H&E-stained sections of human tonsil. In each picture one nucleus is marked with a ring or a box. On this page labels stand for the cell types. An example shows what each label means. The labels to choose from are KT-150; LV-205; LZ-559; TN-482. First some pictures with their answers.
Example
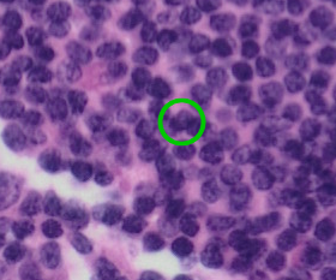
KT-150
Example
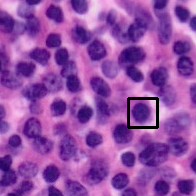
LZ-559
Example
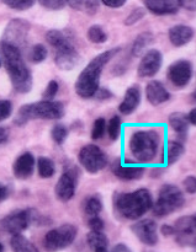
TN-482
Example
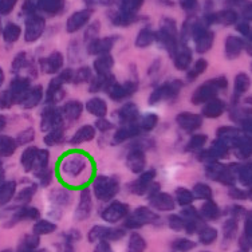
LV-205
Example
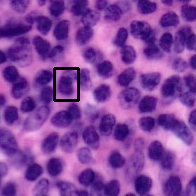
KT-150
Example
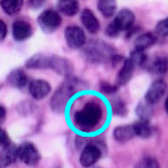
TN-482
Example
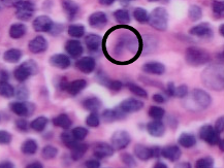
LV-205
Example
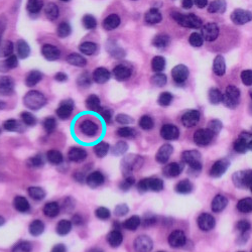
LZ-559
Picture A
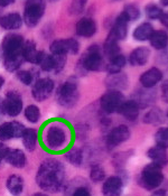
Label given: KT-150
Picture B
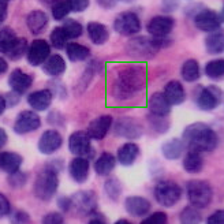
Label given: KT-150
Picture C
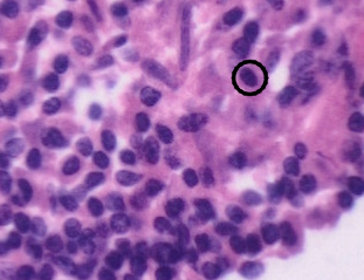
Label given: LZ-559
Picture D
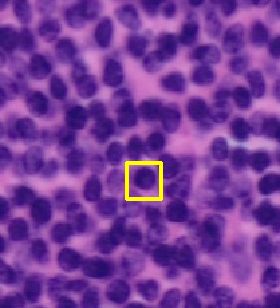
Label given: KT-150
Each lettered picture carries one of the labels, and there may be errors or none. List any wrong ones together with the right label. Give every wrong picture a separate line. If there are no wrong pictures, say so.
A: change KT-150 to LV-205
B: change KT-150 to LV-205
